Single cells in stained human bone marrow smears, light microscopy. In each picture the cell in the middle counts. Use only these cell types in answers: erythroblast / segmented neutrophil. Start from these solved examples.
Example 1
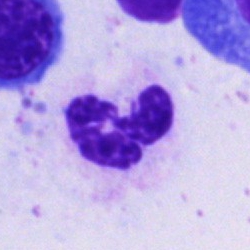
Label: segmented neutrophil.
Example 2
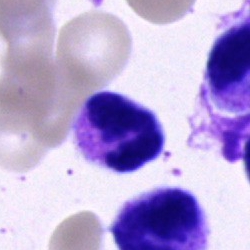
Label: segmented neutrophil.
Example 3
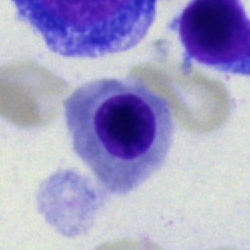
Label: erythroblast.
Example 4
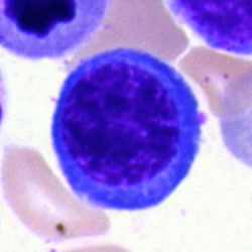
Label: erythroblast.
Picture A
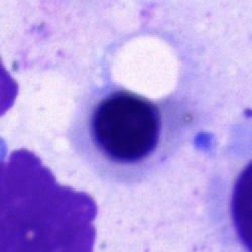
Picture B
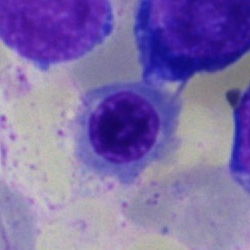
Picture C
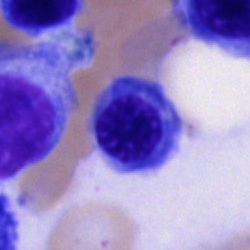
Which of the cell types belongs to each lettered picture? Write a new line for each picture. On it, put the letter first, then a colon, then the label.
A: erythroblast.
B: erythroblast.
C: erythroblast.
